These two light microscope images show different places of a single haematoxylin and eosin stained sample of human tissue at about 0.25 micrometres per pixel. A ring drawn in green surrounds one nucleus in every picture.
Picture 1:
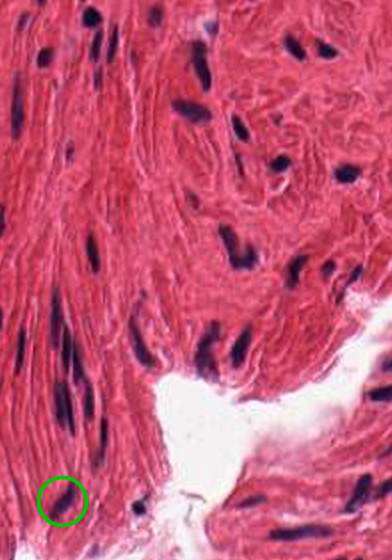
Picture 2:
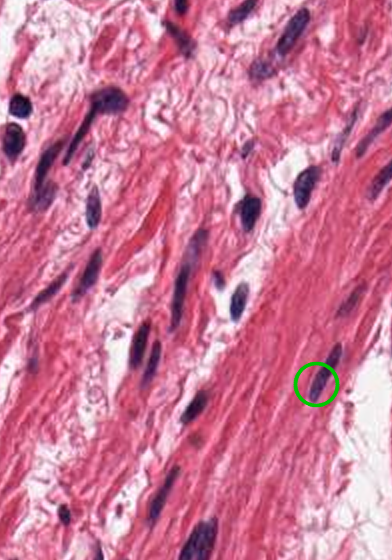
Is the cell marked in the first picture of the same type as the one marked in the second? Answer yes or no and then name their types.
Yes, both are smooth muscle cells.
